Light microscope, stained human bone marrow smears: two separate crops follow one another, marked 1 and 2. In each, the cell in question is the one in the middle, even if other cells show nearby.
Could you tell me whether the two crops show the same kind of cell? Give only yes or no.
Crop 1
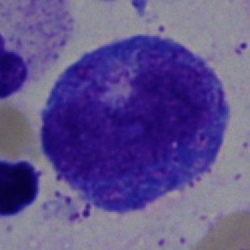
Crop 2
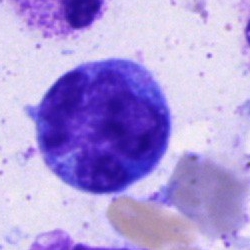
no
